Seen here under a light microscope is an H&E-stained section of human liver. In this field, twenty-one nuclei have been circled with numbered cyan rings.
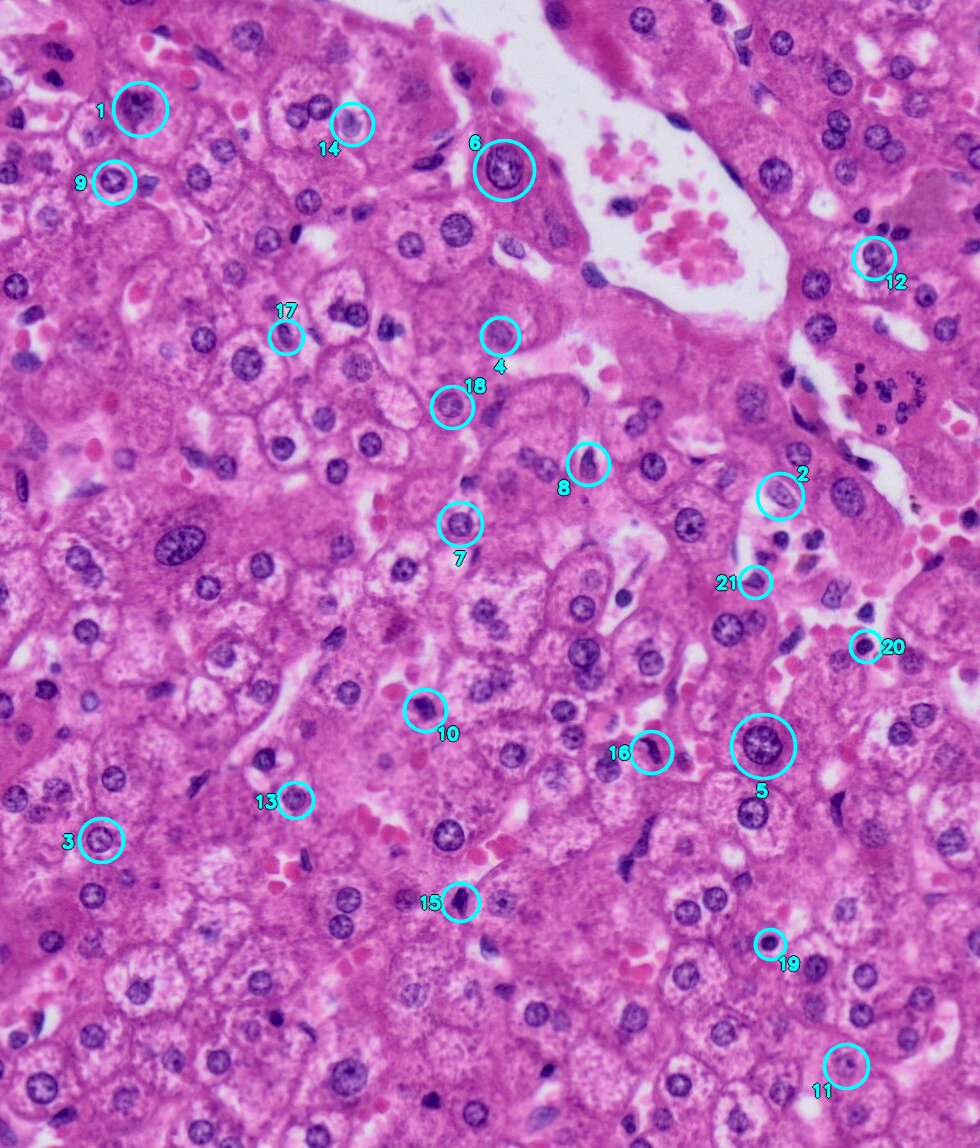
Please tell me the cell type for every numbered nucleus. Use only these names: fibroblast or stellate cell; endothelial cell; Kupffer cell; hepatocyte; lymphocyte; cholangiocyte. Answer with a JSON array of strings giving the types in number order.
["hepatocyte", "Kupffer cell", "hepatocyte", "hepatocyte", "hepatocyte", "hepatocyte", "hepatocyte", "Kupffer cell", "hepatocyte", "fibroblast or stellate cell", "hepatocyte", "hepatocyte", "hepatocyte", "endothelial cell", "fibroblast or stellate cell", "fibroblast or stellate cell", "Kupffer cell", "hepatocyte", "lymphocyte", "lymphocyte", "fibroblast or stellate cell"]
